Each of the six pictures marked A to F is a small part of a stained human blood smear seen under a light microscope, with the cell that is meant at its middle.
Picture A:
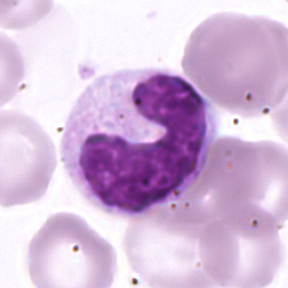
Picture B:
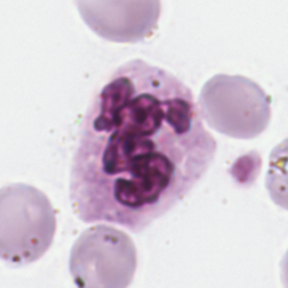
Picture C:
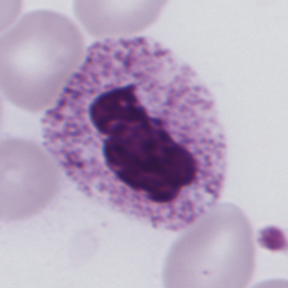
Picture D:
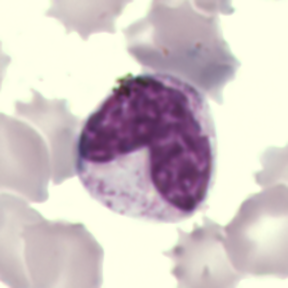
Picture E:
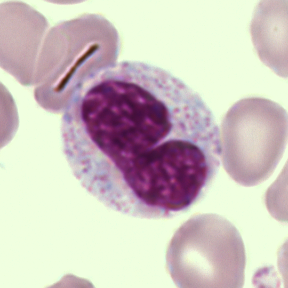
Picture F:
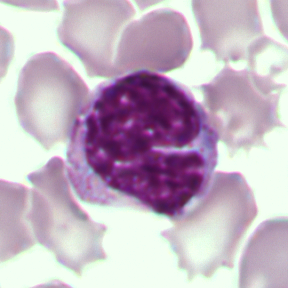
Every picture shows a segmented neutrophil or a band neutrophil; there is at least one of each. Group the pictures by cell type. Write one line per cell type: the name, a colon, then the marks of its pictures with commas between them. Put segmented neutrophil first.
segmented neutrophil: B, C
band neutrophil: A, D, E, F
